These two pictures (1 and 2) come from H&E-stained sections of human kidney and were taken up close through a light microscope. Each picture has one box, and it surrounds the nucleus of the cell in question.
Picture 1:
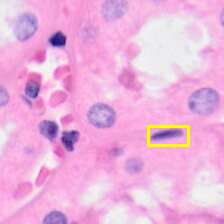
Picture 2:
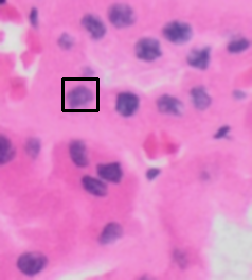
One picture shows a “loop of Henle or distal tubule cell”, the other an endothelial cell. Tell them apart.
1: endothelial cell
2: loop of Henle or distal tubule cell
